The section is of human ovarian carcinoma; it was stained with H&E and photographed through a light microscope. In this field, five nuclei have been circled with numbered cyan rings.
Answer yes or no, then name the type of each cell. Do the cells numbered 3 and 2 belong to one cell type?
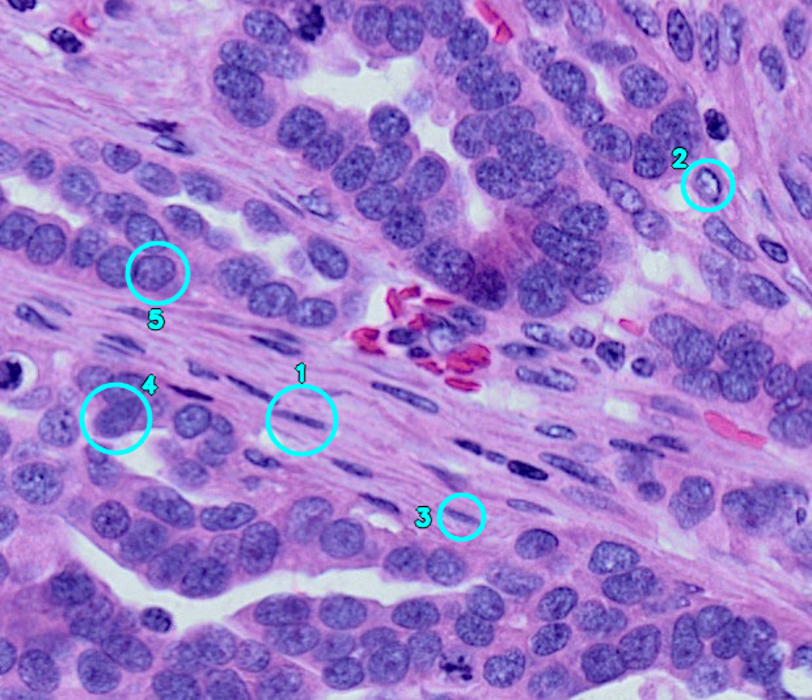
Yes, the cell labelled 3 and the cell labelled 2 are both fibroblasts.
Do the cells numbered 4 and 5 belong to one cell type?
Yes, cells 4 and 5 are of one type, both being carcinoma cells.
